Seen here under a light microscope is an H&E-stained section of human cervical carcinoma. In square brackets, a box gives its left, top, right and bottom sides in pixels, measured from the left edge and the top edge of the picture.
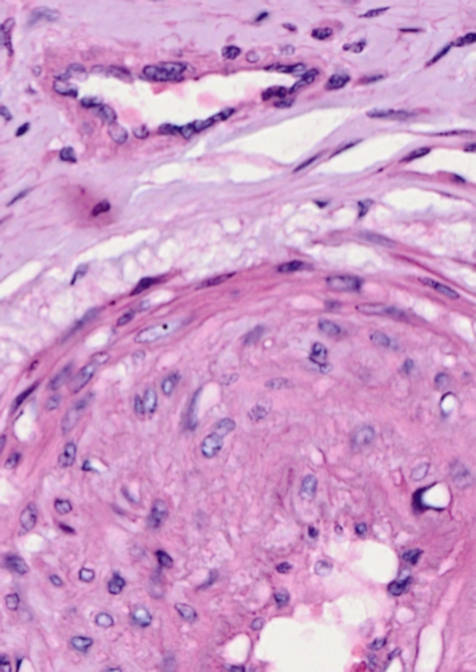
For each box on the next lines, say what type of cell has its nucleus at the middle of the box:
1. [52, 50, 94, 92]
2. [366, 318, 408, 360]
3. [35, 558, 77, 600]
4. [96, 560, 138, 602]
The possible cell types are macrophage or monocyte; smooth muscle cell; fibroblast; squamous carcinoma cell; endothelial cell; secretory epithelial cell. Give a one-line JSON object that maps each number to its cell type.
{"1": "endothelial cell", "2": "smooth muscle cell", "3": "smooth muscle cell", "4": "smooth muscle cell"}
